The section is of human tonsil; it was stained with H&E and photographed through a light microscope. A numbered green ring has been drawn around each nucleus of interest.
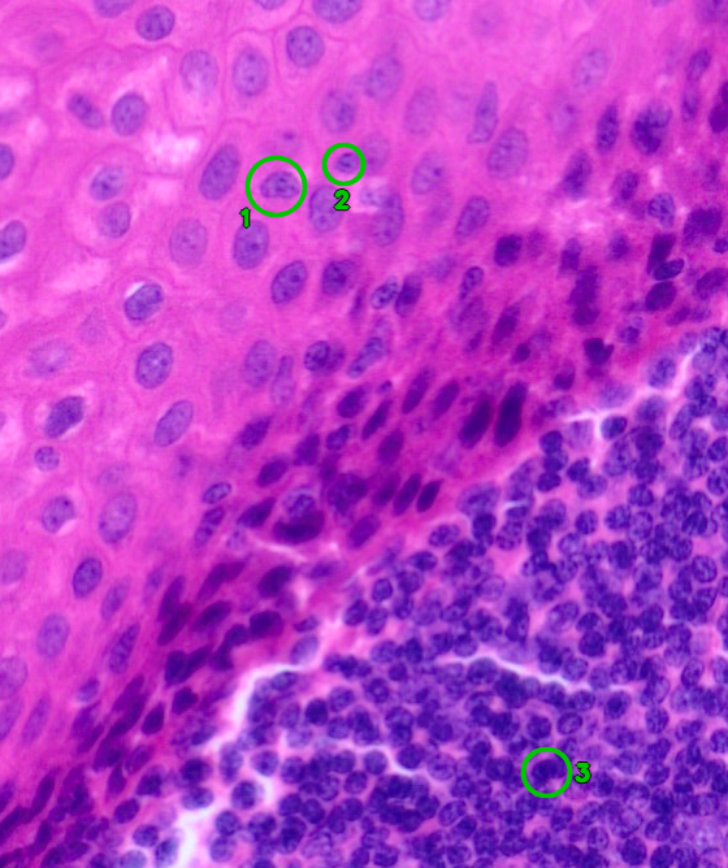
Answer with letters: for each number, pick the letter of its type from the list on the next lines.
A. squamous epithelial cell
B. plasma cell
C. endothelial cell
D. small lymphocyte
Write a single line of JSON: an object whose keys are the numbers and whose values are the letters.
{"1": "A", "2": "A", "3": "D"}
